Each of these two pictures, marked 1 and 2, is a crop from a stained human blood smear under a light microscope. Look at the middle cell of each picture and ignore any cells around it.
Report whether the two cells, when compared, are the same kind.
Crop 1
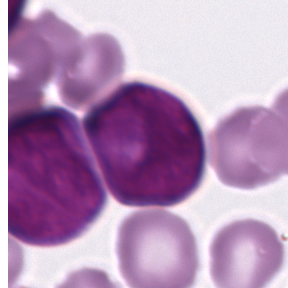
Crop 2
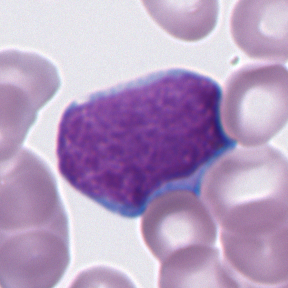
yes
